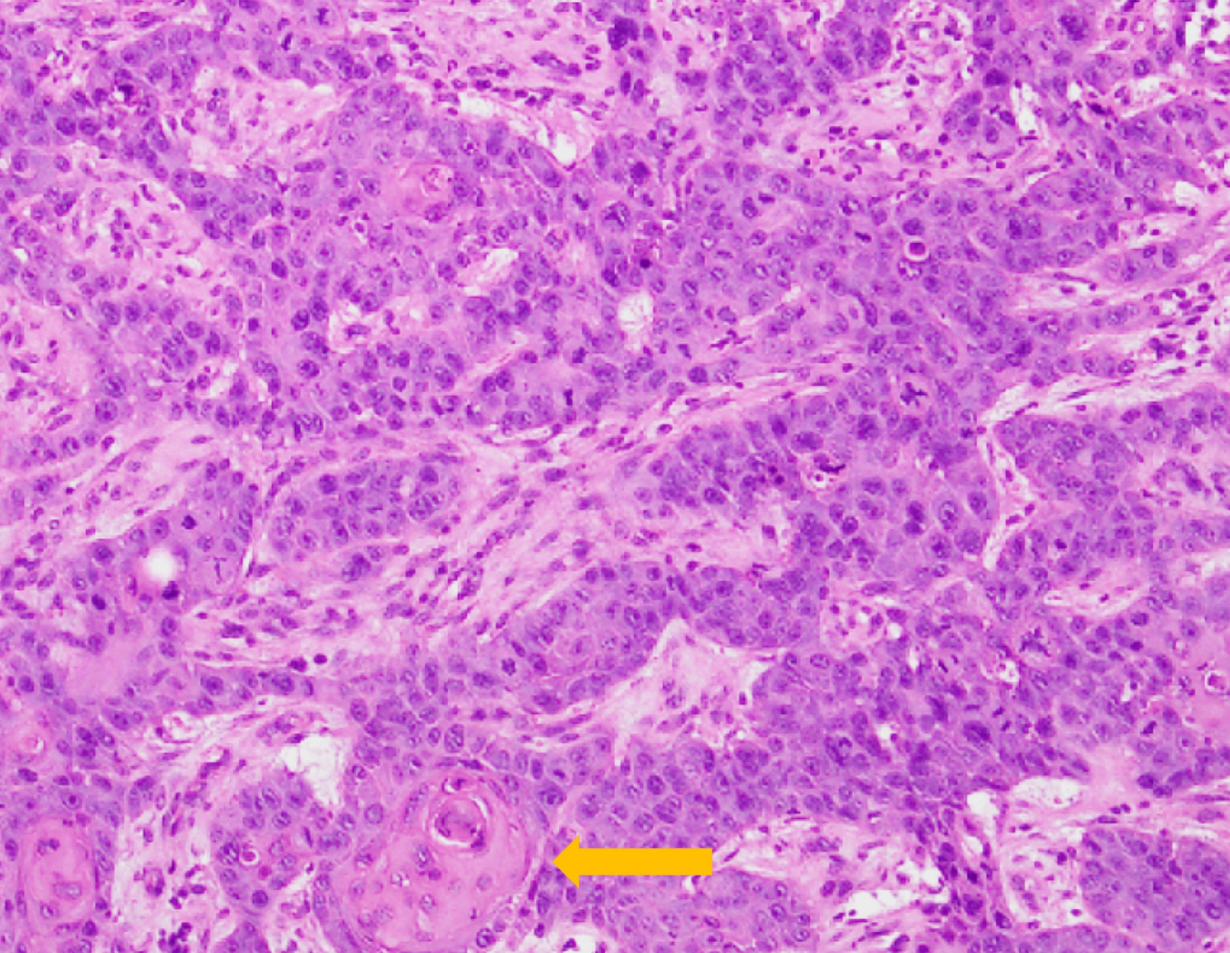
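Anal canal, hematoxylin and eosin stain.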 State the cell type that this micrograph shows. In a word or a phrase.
Atypical squamous cells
